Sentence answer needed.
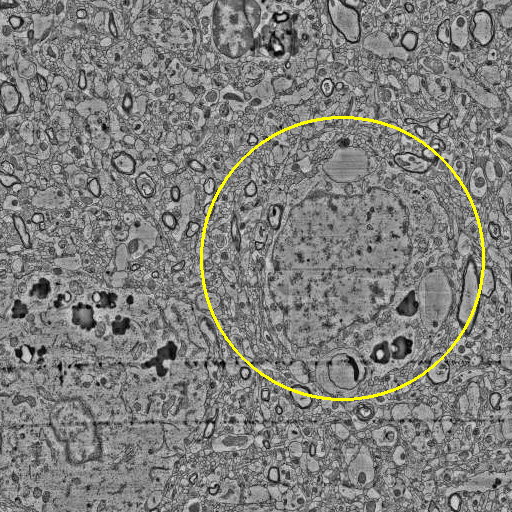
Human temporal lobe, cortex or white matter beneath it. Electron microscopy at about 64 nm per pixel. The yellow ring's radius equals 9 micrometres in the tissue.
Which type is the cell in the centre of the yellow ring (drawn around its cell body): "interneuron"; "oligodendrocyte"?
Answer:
In the centre of the yellow ring is an interneuron.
